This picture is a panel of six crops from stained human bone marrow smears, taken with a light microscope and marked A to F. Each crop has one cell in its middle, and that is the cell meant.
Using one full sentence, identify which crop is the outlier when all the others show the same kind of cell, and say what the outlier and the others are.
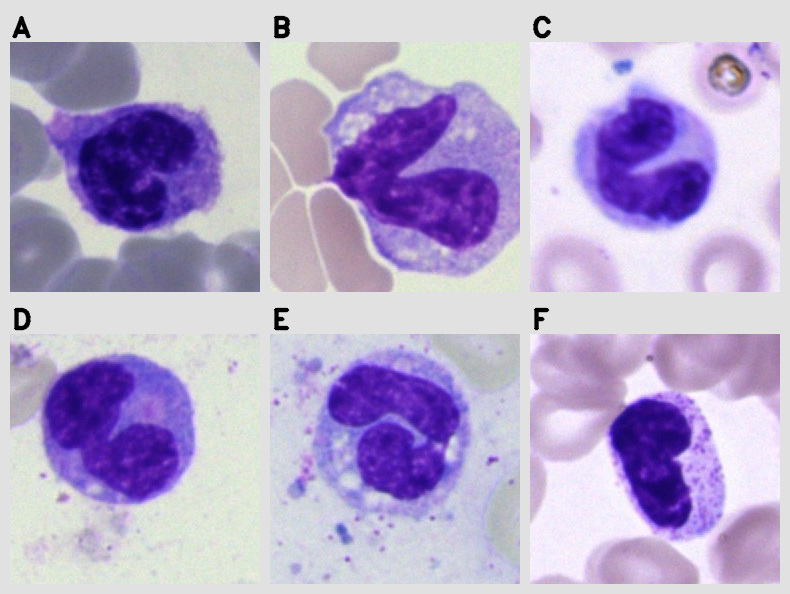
Whereas the other crops all show monocytes, crop F shows a band neutrophil.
